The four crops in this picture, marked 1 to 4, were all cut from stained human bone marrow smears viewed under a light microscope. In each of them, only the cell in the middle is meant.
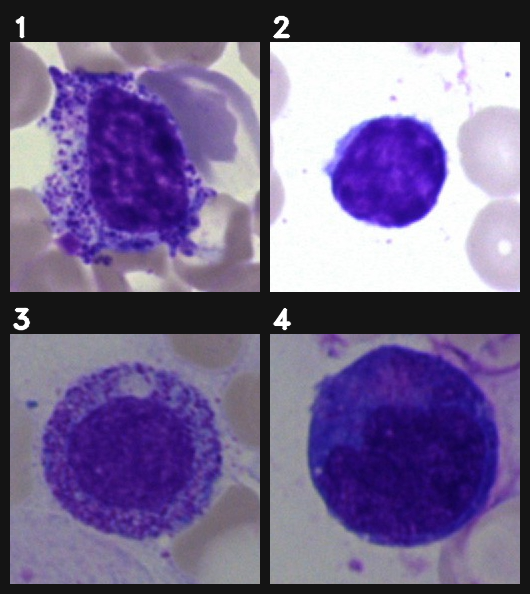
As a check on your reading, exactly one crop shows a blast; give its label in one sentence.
Of the crops shown, crop 4 depicts a blast.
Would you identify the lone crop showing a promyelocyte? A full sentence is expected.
The cell identified as a promyelocyte is the one in crop 1.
